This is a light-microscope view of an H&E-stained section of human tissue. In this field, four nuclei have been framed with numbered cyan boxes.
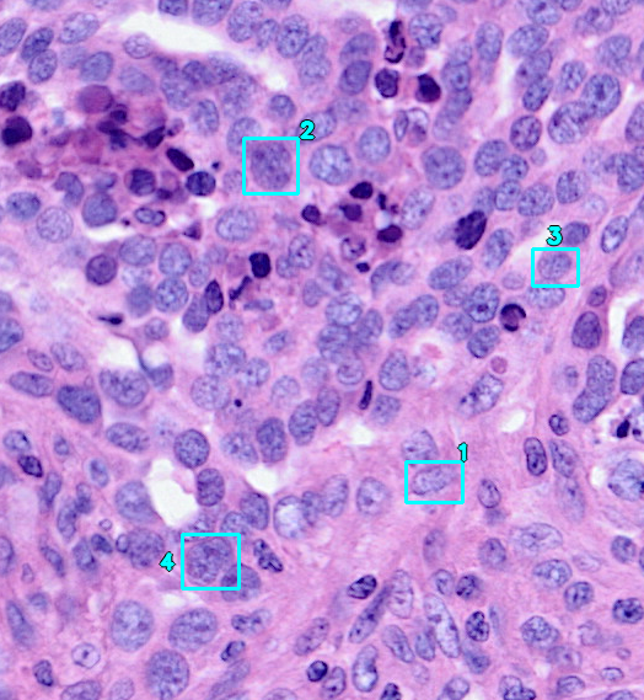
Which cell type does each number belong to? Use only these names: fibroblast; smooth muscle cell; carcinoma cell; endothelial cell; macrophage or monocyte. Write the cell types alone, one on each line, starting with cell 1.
fibroblast
carcinoma cell
carcinoma cell
carcinoma cell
